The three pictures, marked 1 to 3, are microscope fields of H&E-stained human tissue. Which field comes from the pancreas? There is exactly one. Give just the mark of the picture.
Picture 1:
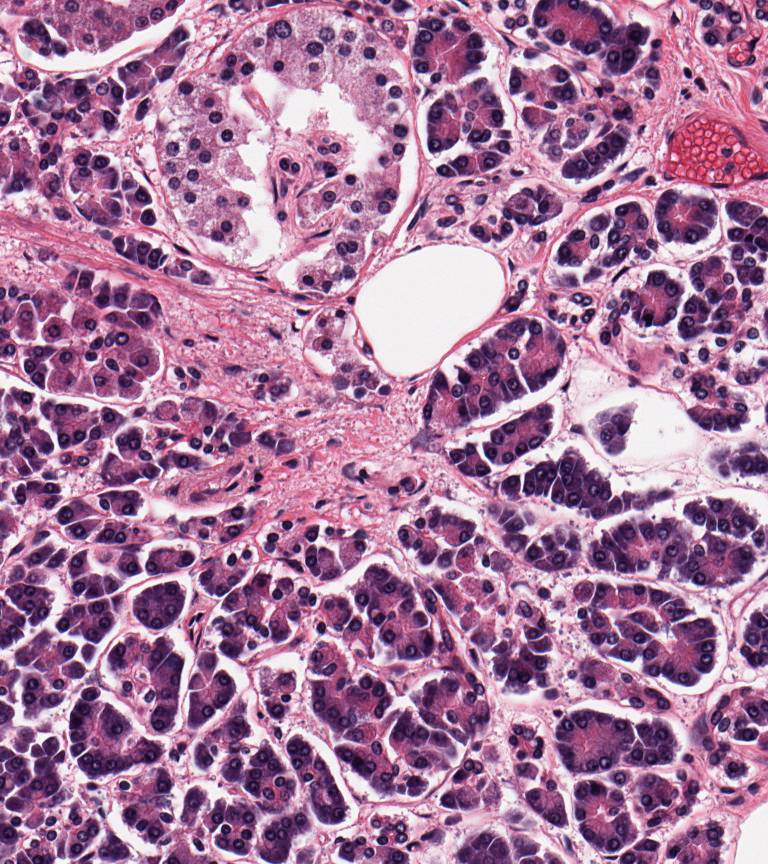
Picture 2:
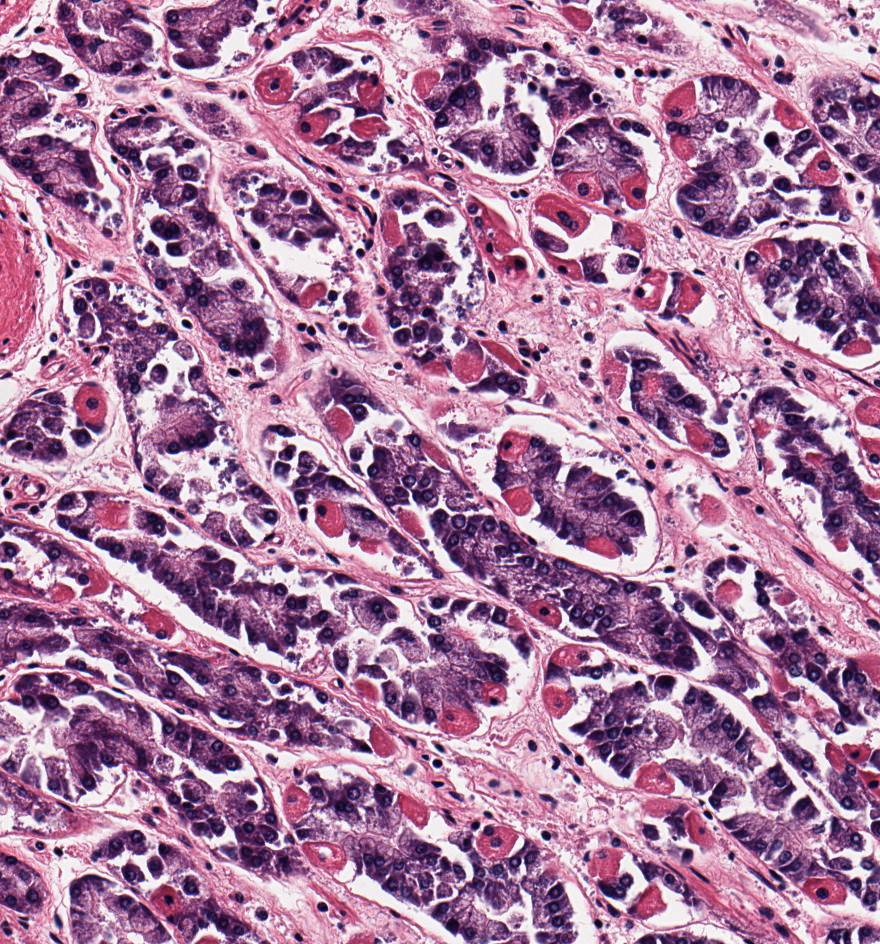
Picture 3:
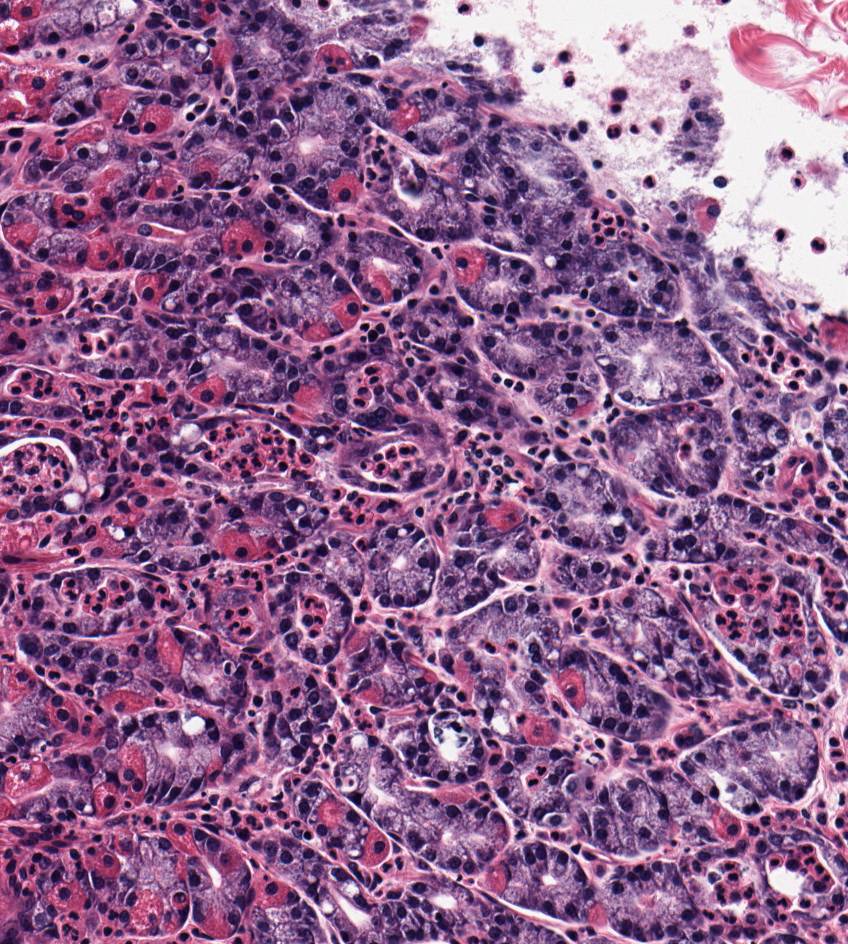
1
